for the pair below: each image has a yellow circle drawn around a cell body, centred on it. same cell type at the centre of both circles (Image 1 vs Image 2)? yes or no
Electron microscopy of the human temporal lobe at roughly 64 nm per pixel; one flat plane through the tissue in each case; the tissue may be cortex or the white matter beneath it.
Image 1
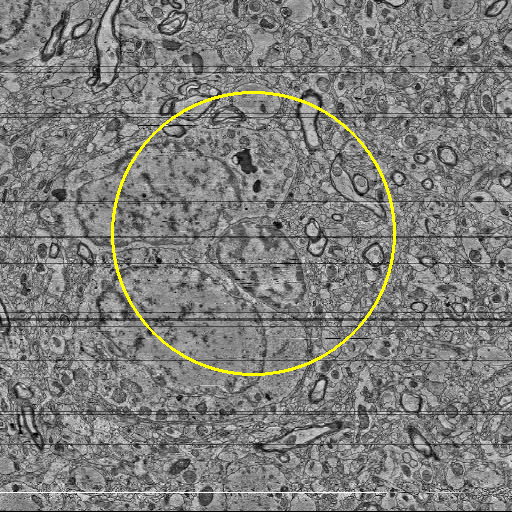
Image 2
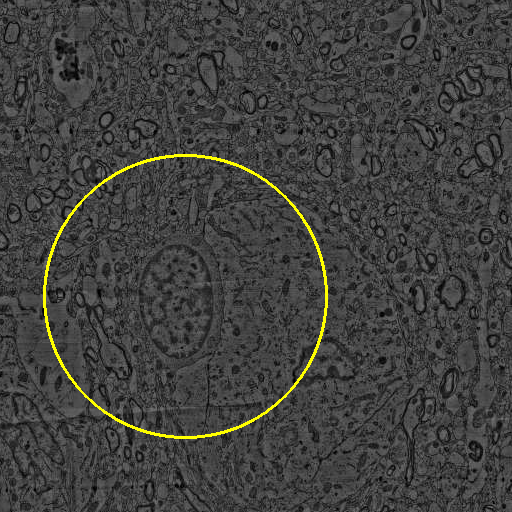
yes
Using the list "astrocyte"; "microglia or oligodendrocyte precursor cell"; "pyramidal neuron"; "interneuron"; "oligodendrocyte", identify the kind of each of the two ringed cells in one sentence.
Each of the two rings surrounds an oligodendrocyte.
